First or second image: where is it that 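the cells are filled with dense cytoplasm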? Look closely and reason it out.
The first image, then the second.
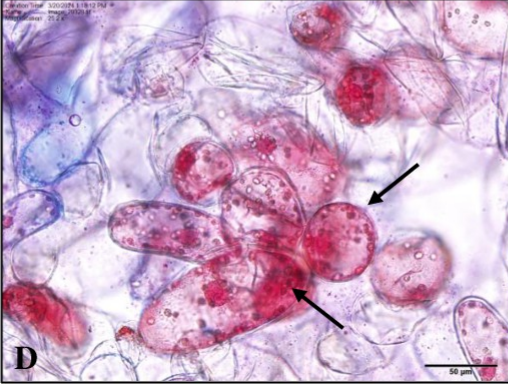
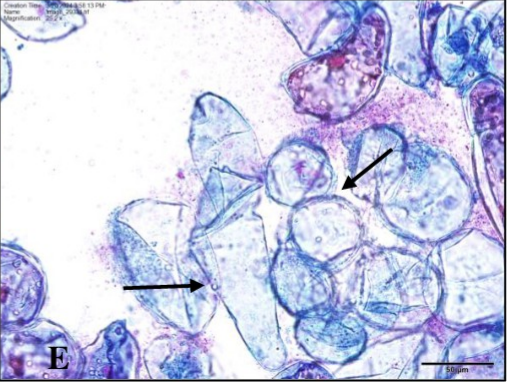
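Second image: blue-walled cells with clear, empty-looking interiors. First image: red-stained cells packed with dense granular contents.
The first image.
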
